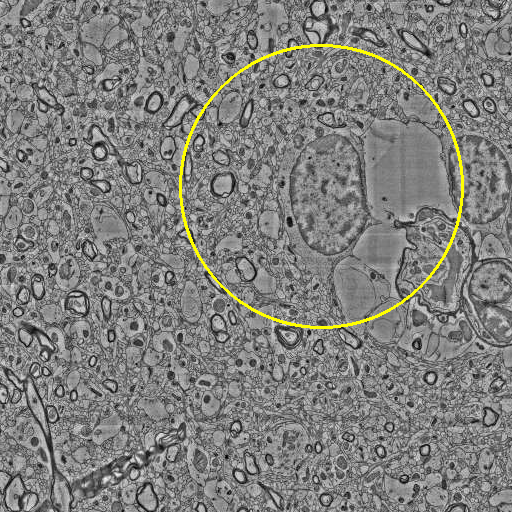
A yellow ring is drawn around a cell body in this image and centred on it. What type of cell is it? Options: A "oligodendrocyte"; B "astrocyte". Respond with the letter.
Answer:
A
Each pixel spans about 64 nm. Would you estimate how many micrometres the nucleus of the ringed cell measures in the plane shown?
The nucleus appears roughly 8 by 5 micrometres in this plane.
